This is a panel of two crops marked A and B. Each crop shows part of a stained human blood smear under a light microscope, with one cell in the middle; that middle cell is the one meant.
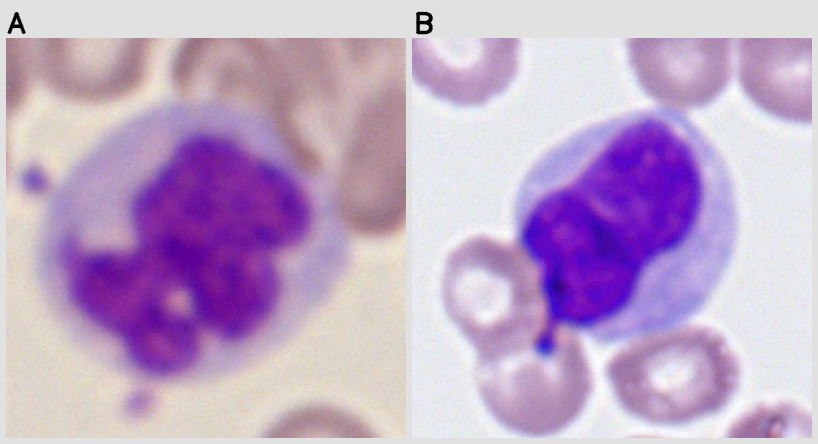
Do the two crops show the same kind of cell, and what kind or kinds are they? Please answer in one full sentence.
Yes, monocytes are seen in both crops.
